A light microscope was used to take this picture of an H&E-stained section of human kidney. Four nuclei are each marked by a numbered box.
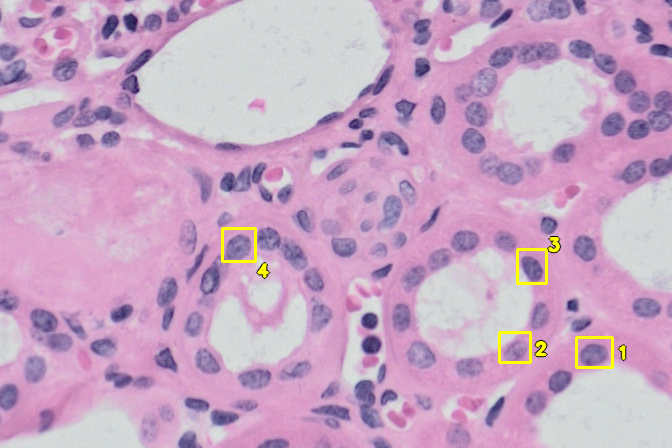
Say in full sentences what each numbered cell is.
Cells 1, 2 and 3 are loop of Henle or distal tubule cells. Cell 4 is a collecting duct cell.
